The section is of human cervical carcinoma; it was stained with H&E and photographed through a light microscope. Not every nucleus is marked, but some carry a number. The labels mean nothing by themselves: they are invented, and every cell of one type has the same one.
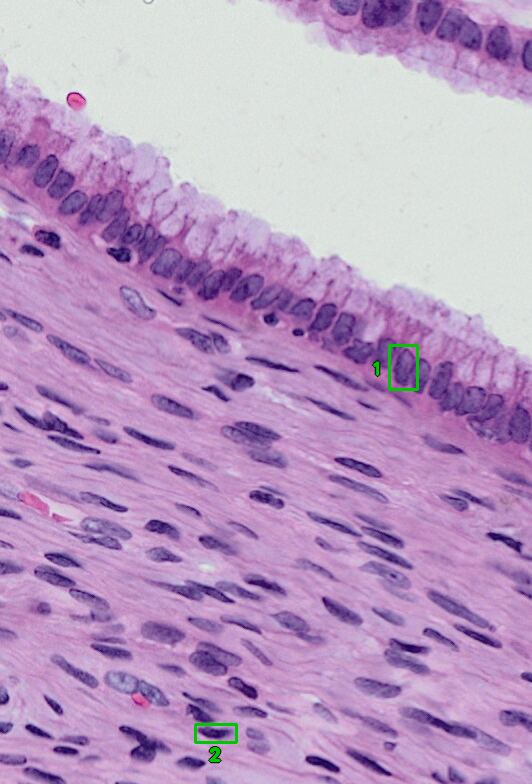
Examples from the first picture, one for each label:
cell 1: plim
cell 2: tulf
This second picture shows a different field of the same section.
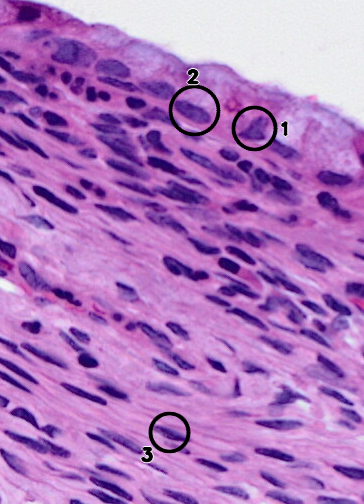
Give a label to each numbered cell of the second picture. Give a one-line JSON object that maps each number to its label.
{"1": "plim", "2": "plim", "3": "tulf"}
